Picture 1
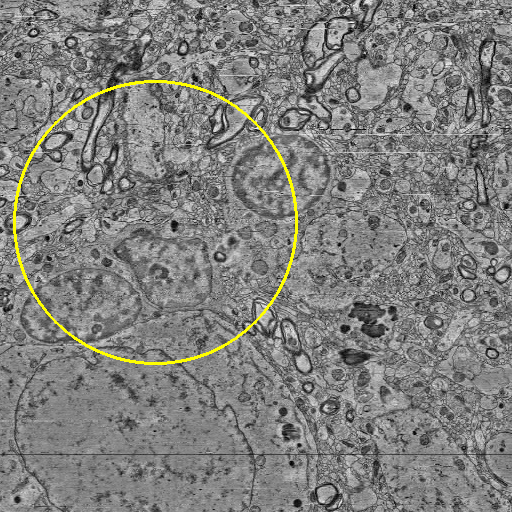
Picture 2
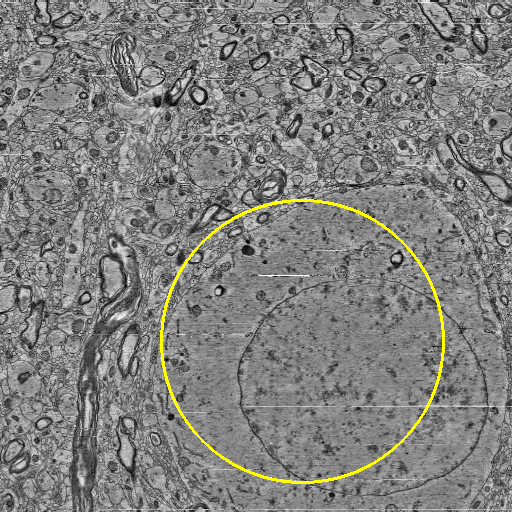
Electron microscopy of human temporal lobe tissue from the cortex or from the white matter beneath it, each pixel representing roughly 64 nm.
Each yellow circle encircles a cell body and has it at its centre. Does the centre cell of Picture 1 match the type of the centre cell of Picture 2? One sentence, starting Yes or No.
No, the cell centred in Picture 1 and the one in Picture 2 have separate types.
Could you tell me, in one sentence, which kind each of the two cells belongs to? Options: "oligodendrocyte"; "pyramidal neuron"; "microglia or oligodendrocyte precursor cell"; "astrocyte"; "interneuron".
At the centre of the first ring sits an oligodendrocyte, and at the centre of the second sits a pyramidal neuron.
